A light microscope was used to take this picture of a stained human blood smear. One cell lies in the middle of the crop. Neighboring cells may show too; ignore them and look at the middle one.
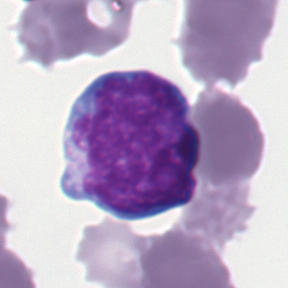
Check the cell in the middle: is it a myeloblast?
yes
